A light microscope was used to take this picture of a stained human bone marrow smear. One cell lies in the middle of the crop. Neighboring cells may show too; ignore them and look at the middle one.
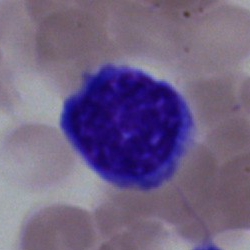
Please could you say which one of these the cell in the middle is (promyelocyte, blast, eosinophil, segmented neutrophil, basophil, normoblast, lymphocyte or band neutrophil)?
lymphocyte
